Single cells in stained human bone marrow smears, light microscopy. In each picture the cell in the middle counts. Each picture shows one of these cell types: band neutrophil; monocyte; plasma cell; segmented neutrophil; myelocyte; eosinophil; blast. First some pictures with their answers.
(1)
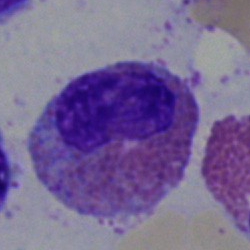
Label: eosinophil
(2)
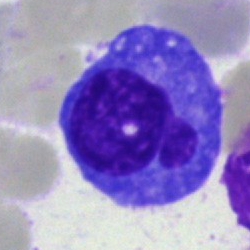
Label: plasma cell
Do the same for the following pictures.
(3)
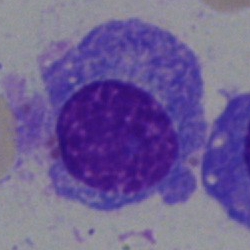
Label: plasma cell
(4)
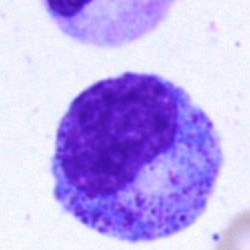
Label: myelocyte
